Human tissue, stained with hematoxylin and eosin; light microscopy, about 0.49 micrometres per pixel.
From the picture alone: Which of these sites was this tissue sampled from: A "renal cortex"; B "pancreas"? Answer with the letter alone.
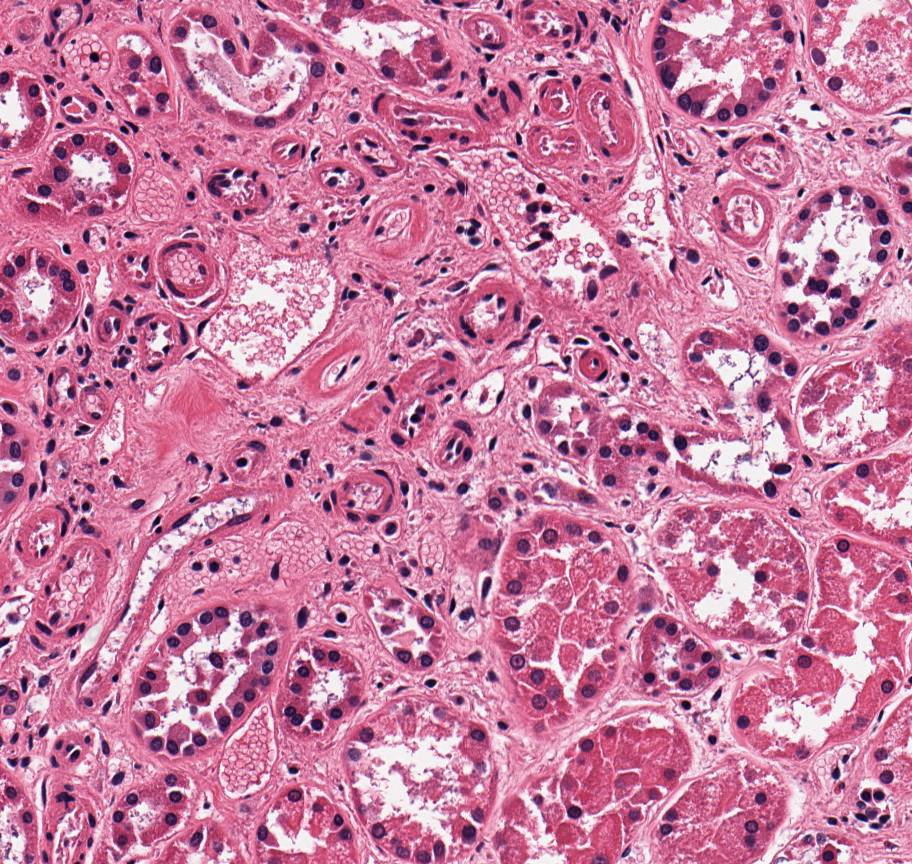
A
